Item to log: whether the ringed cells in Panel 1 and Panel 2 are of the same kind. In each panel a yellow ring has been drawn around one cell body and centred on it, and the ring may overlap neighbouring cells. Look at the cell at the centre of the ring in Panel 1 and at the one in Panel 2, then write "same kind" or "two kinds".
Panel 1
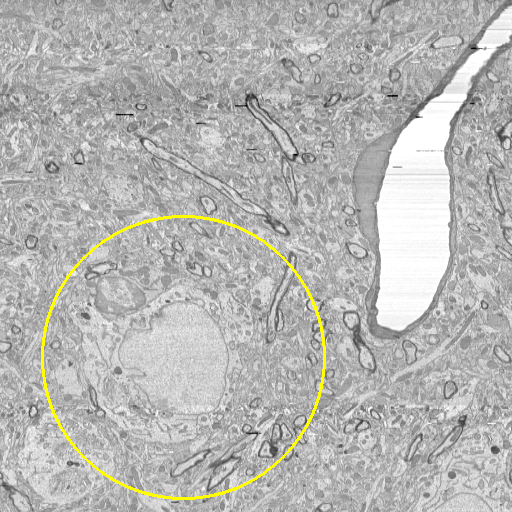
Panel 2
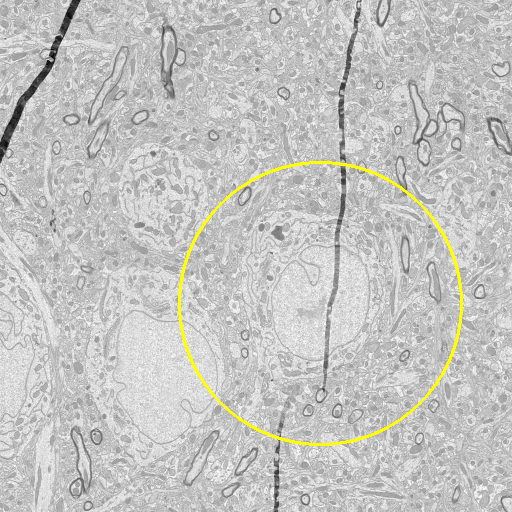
same kind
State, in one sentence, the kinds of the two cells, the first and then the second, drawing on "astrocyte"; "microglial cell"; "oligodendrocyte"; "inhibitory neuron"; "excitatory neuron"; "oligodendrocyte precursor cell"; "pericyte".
The ring centre holds an inhibitory neuron in each of the two pictures.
